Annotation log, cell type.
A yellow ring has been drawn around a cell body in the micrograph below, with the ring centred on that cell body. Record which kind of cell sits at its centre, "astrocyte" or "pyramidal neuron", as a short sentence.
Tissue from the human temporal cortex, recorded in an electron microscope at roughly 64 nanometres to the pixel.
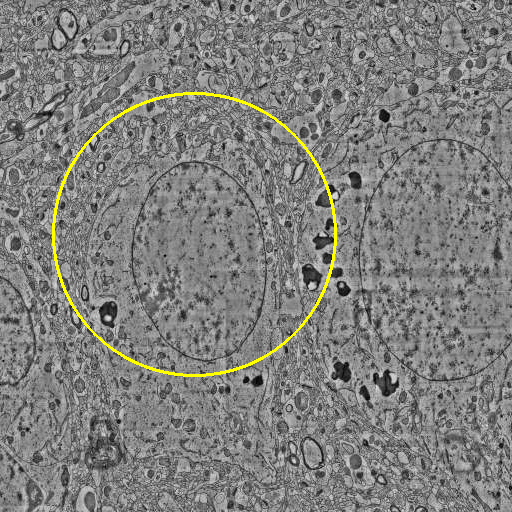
The cell at the centre of this ring is a pyramidal neuron.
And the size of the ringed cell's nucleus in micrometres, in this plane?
The nucleus appears roughly 13 by 9 micrometres in this plane.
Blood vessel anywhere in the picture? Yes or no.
No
